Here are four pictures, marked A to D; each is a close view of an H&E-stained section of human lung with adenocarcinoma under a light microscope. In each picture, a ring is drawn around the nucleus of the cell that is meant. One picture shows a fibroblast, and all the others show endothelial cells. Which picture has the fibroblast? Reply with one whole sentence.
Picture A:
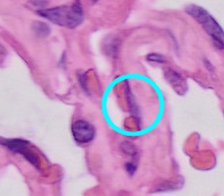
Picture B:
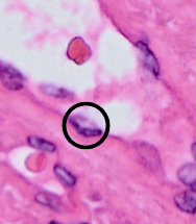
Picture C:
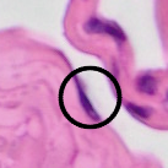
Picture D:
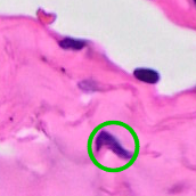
Picture D shows the fibroblast.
